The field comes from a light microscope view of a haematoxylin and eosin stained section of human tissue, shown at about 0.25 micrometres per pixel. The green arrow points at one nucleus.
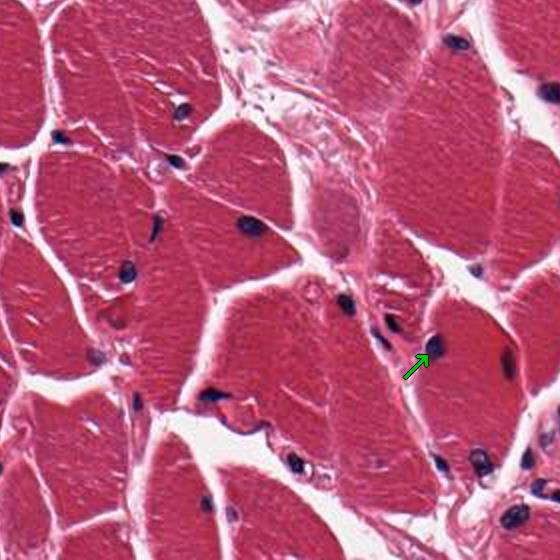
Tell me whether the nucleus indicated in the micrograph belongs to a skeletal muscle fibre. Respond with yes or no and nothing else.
yes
